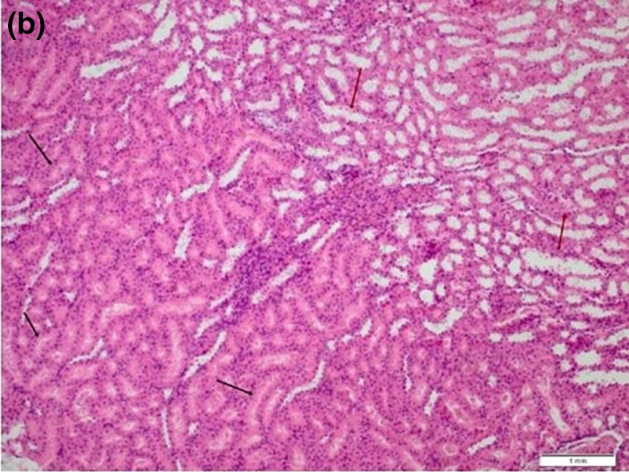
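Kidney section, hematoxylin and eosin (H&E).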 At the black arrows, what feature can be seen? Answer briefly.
Proximal tubules.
